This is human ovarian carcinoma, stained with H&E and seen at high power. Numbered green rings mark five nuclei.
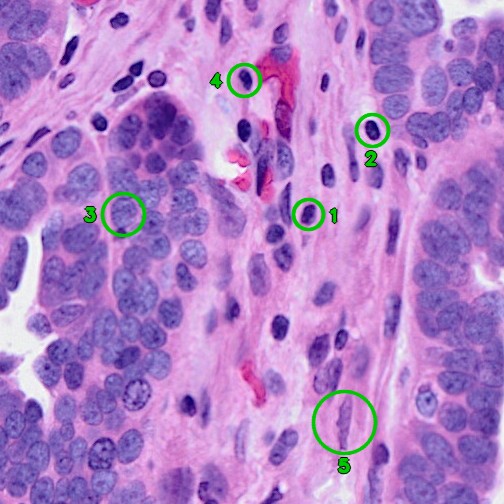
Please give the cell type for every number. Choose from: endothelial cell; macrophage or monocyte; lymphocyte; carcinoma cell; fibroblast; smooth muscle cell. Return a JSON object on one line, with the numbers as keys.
{"1": "lymphocyte", "2": "lymphocyte", "3": "carcinoma cell", "4": "lymphocyte", "5": "fibroblast"}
